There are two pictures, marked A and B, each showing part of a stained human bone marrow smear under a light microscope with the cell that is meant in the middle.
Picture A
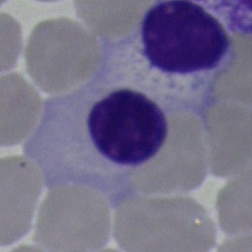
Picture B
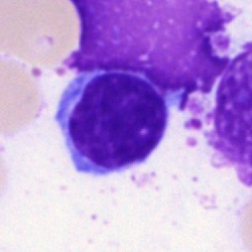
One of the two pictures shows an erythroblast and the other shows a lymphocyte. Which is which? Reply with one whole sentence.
In picture A the cell is an erythroblast; in picture B, a lymphocyte.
